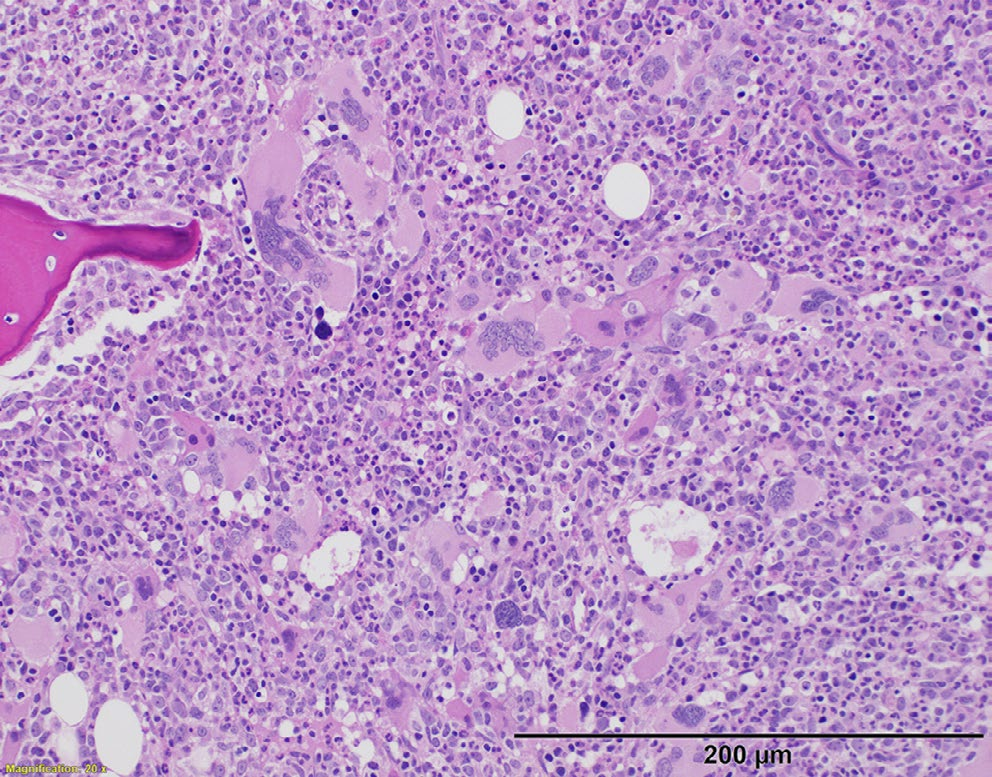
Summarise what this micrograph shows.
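A piece of bright pink bone trabecula sits at the left edge, and the marrow space beside it is packed almost completely with small round hematopoietic cells, leaving only a few round empty fat spaces. Scattered and loosely clustered among them are many giant cells with ample pink cytoplasm and large, dark, irregularly folded and lobated nuclei. This is a hypercellular bone marrow with numerous atypical megakaryocytes.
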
